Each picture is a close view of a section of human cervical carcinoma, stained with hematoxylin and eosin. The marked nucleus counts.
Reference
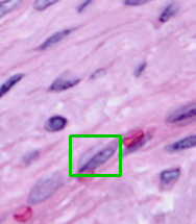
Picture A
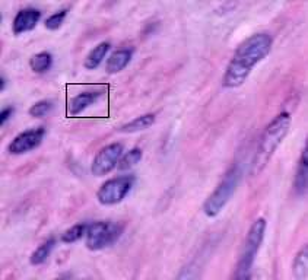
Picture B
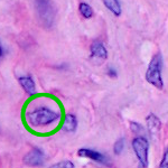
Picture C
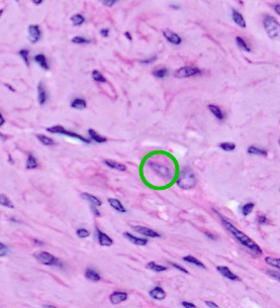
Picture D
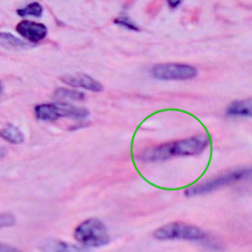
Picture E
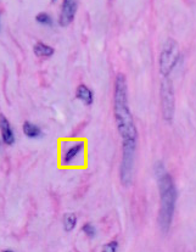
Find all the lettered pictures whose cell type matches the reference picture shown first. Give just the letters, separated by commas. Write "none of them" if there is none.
C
